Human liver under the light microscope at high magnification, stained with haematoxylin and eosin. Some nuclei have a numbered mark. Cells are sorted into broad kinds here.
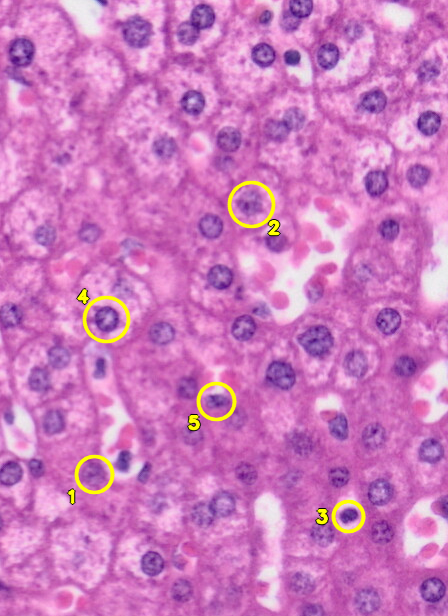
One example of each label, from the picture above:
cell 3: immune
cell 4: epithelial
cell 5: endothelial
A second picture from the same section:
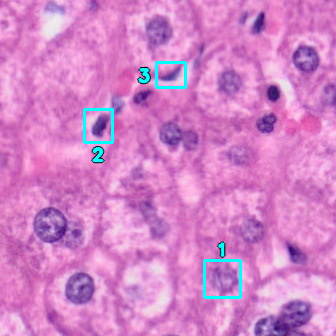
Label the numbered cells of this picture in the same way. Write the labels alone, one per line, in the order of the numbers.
epithelial
immune
endothelial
